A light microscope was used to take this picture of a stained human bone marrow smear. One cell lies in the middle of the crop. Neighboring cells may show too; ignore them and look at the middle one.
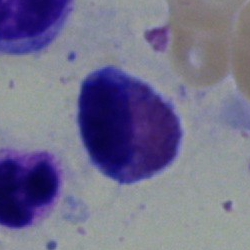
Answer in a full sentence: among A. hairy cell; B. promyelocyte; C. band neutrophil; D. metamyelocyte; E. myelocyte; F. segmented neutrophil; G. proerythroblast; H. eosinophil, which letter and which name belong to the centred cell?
The middle cell of the crop is an eosinophil; accordingly, option H is correct.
